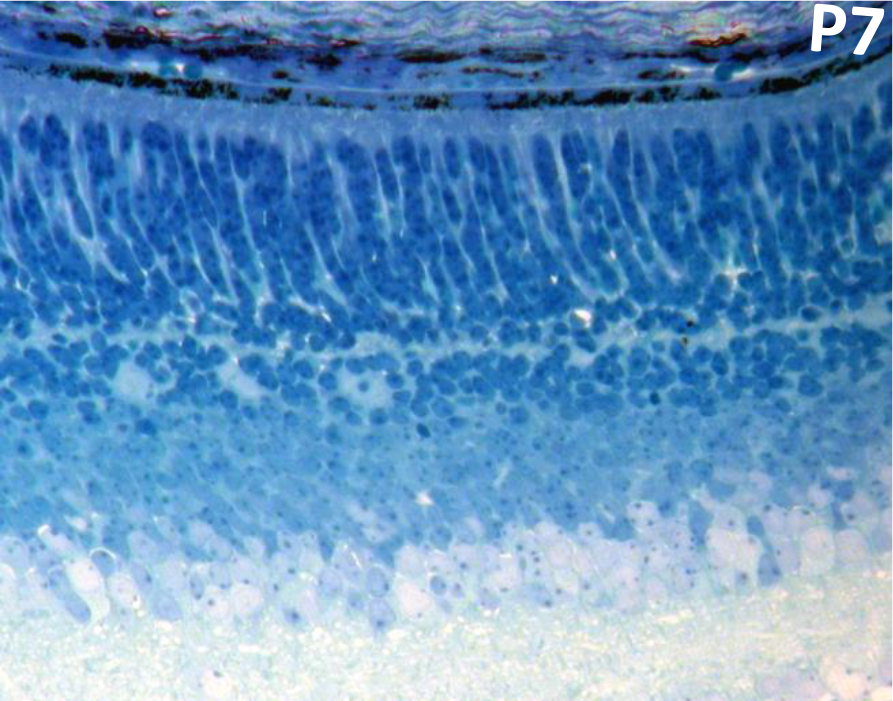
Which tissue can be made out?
Retina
